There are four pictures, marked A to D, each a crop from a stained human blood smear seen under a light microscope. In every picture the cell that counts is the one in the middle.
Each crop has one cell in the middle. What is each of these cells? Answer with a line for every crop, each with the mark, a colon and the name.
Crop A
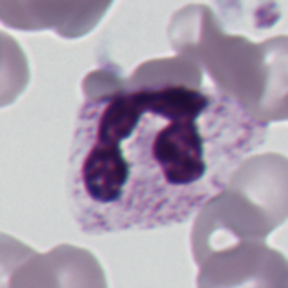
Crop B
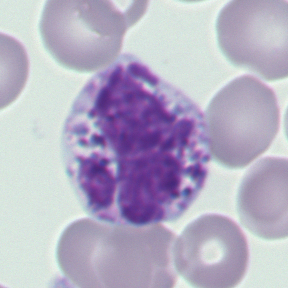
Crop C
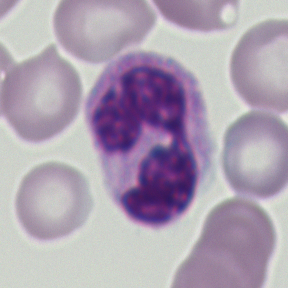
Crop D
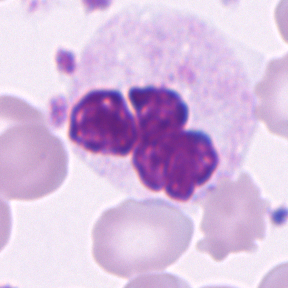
A: segmented neutrophil
B: basophil
C: segmented neutrophil
D: segmented neutrophil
